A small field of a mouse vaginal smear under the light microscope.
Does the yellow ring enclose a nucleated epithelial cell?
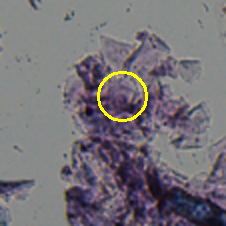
Yes. The ring encloses a nucleated epithelial cell.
